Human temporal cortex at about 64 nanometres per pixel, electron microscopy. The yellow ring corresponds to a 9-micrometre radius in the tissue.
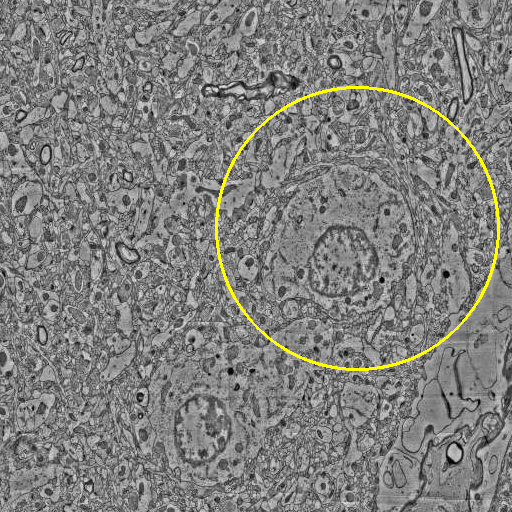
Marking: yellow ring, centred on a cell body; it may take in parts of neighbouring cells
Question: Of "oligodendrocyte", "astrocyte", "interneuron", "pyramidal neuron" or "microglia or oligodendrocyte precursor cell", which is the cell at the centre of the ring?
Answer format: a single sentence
The ring surrounds the body of a pyramidal neuron.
